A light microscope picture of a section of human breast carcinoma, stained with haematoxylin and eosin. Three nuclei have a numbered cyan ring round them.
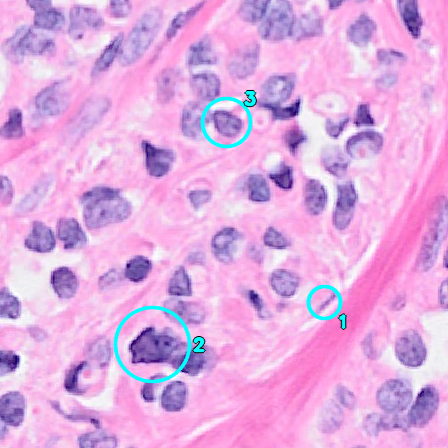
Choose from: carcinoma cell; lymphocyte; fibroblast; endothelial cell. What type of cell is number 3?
carcinoma cell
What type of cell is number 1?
fibroblast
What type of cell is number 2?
carcinoma cell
